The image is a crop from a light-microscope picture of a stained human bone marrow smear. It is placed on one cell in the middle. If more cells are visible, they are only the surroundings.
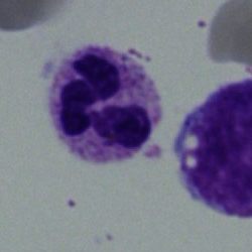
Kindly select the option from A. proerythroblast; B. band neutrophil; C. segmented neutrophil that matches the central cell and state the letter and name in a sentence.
Option C is the keyed answer: the cell in the middle is a segmented neutrophil.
